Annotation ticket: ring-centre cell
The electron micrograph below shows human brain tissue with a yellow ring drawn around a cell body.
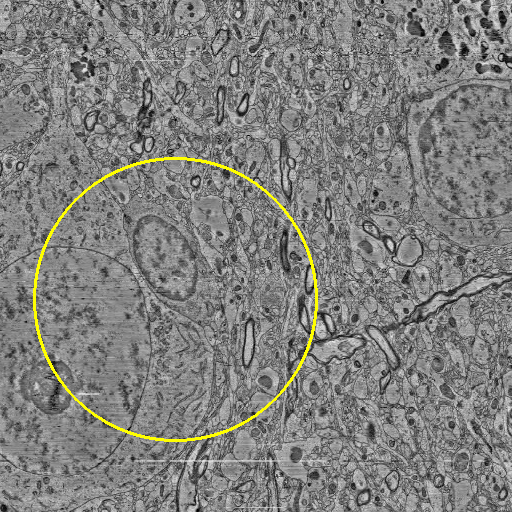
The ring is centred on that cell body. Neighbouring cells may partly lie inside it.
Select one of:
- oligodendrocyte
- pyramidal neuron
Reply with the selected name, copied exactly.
oligodendrocyte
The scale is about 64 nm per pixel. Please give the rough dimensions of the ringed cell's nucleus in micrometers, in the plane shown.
Roughly 6 by 4 micrometres; in this plane, clearly longer than it is wide.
